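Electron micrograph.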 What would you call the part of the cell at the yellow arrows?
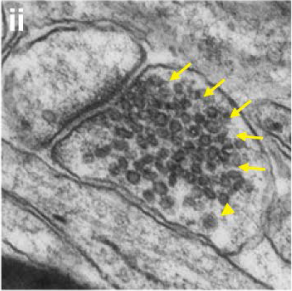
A: Synaptic vesicles.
